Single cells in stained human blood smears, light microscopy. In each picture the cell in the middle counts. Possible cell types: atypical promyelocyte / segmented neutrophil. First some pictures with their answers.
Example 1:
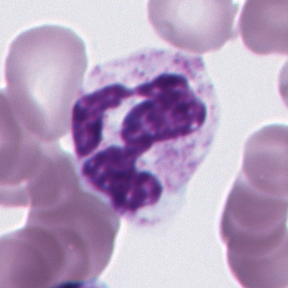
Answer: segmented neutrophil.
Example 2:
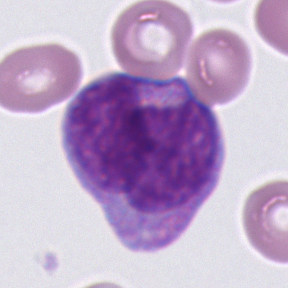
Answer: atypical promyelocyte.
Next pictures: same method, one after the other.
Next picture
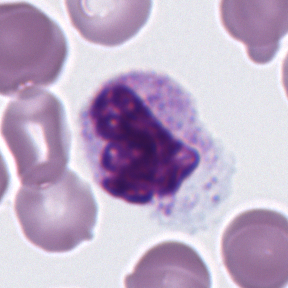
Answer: segmented neutrophil.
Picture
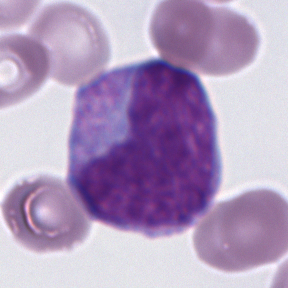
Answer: atypical promyelocyte.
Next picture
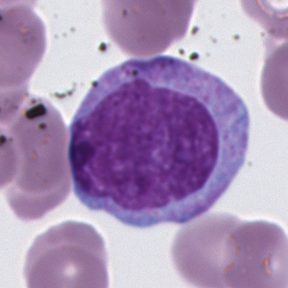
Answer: atypical promyelocyte.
